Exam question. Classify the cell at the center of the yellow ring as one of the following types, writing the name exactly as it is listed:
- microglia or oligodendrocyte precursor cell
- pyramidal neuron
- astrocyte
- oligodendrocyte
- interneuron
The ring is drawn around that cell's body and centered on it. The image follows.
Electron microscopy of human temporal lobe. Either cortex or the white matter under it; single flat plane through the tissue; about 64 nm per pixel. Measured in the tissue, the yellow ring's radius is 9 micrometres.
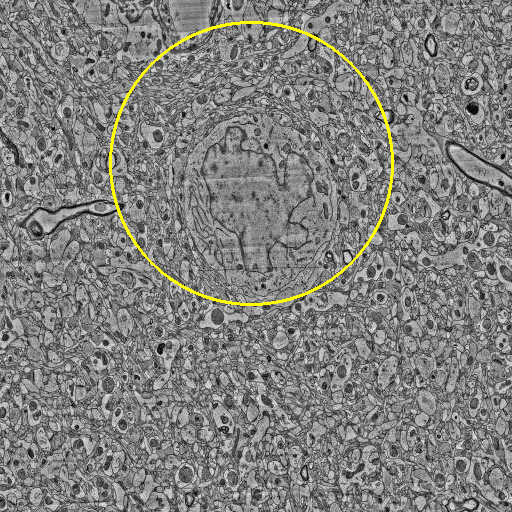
interneuron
